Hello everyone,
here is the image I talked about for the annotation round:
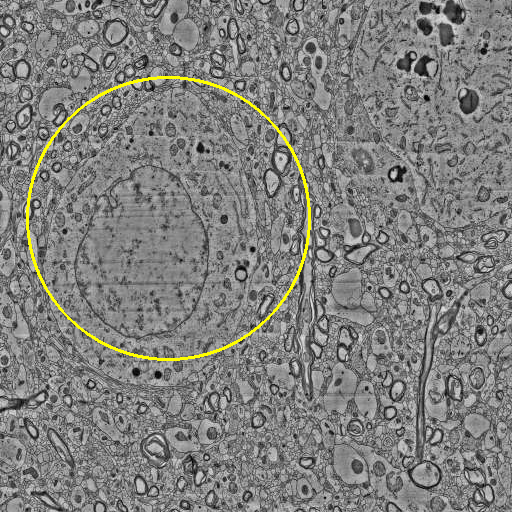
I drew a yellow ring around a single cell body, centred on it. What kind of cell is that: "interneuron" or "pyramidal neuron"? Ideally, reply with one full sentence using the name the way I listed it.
The cell your yellow ring is centred on is a pyramidal neuron, going by your list.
